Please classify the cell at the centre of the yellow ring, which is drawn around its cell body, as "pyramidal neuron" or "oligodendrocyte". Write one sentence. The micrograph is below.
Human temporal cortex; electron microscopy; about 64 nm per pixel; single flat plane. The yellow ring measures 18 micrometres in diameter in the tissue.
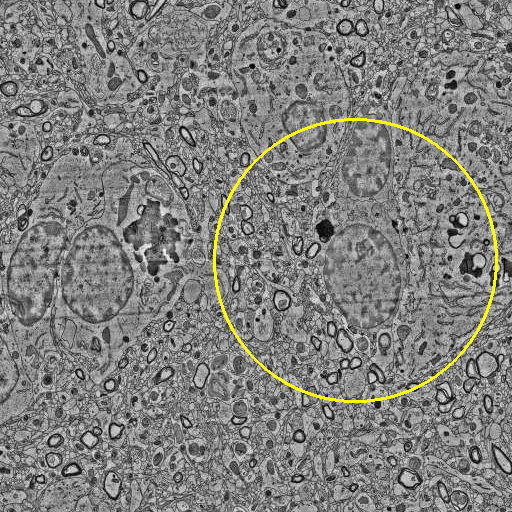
The cell at the ring's centre is classified as an oligodendrocyte.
